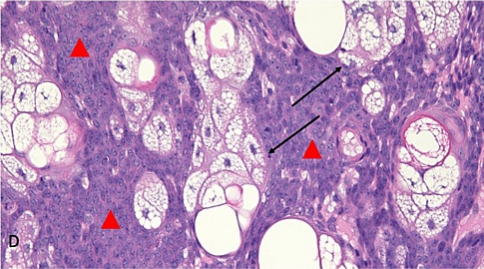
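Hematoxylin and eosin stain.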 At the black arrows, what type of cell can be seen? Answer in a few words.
mature sebocytes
